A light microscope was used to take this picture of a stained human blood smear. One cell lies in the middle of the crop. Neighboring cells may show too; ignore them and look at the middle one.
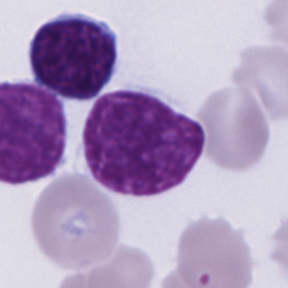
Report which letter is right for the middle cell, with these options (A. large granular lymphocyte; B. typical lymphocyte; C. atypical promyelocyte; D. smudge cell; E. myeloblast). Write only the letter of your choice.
E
